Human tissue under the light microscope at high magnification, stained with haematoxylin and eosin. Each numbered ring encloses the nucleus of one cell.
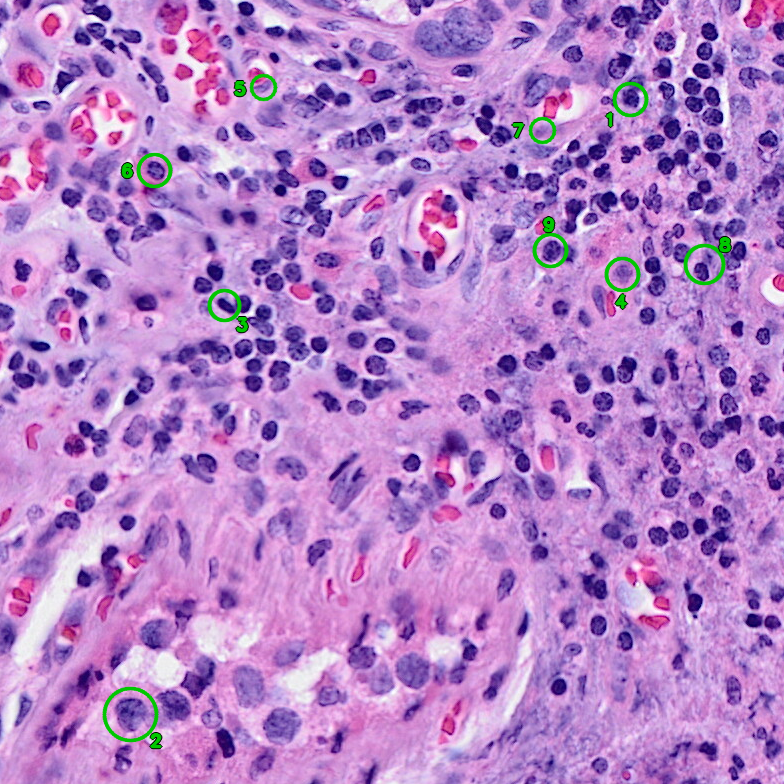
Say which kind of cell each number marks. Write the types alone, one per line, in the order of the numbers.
lymphocyte
carcinoma cell
lymphocyte
endothelial cell
endothelial cell
mast cell
endothelial cell
lymphocyte
lymphocyte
